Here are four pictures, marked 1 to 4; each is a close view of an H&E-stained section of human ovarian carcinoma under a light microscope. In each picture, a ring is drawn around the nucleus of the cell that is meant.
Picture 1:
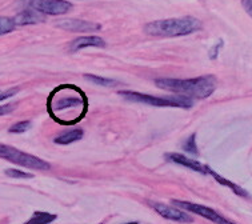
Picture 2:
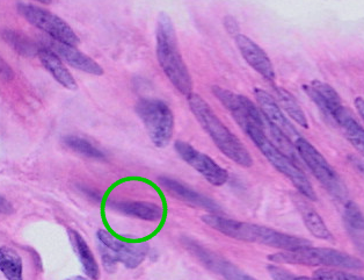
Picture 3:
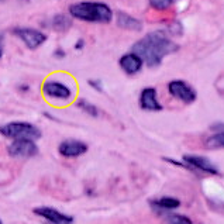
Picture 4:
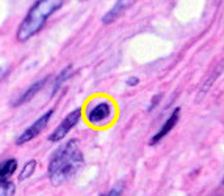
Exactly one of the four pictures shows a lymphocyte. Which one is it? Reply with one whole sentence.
The picture with the lymphocyte is 4.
